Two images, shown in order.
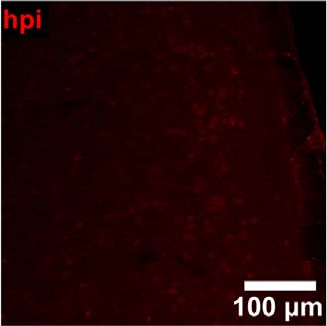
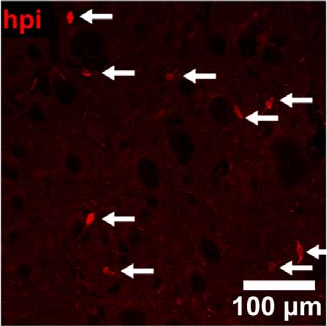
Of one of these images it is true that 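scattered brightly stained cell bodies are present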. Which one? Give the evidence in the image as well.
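Second image: several small bright red cell bodies stand out across the field.
The second image.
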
